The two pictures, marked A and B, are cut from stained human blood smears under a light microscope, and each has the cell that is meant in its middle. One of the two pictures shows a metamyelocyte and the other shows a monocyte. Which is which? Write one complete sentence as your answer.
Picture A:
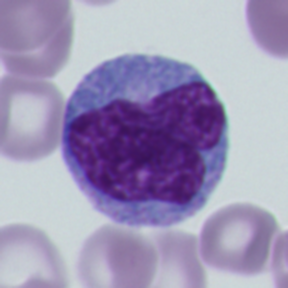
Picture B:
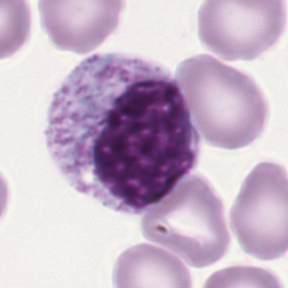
Picture A shows a monocyte and picture B shows a metamyelocyte.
